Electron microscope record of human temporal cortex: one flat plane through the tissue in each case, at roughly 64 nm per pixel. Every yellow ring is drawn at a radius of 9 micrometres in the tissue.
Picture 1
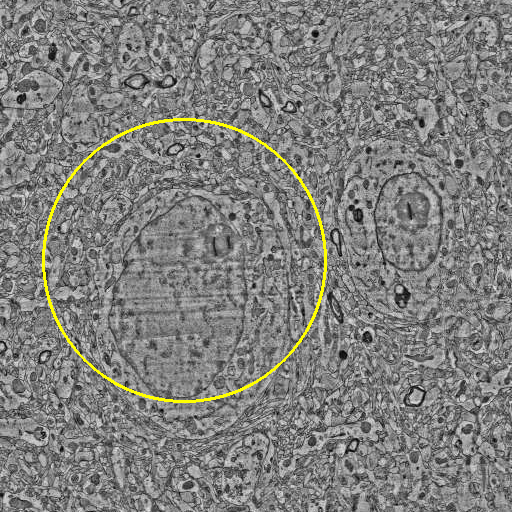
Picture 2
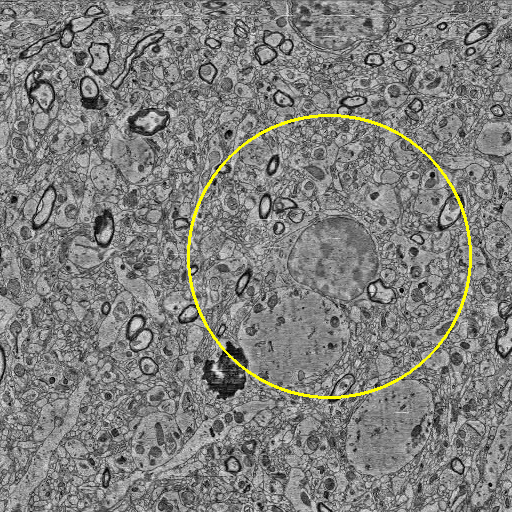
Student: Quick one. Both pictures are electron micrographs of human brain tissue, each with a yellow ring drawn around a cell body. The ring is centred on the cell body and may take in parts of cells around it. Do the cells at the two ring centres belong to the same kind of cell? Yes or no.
no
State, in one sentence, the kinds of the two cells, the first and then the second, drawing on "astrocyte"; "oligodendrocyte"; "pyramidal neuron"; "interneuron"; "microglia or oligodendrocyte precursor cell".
The ring in the second picture is centred on an oligodendrocyte, the ring in the first on an interneuron.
